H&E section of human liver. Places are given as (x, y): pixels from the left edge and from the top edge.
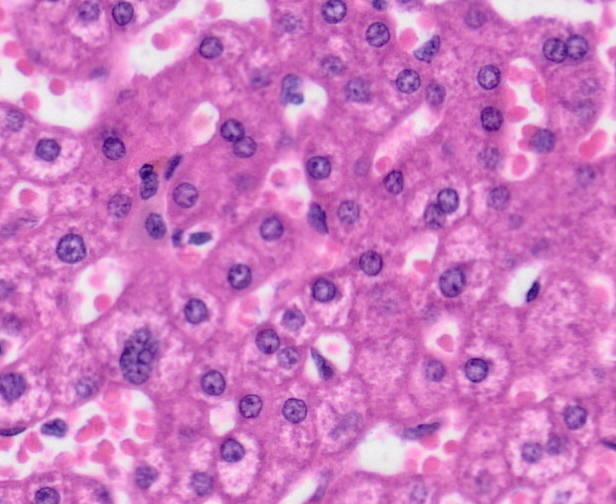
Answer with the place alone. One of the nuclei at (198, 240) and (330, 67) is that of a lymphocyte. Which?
(198, 240)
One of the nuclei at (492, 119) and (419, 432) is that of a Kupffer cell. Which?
(419, 432)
